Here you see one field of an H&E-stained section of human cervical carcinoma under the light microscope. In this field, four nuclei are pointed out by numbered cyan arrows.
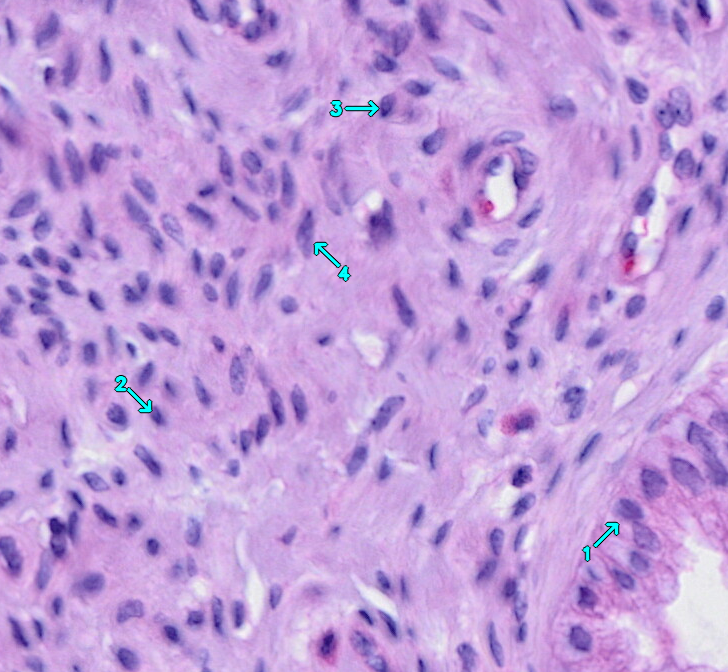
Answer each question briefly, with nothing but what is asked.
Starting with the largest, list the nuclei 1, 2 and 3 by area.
1, 3, 2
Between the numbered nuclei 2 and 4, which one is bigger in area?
4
